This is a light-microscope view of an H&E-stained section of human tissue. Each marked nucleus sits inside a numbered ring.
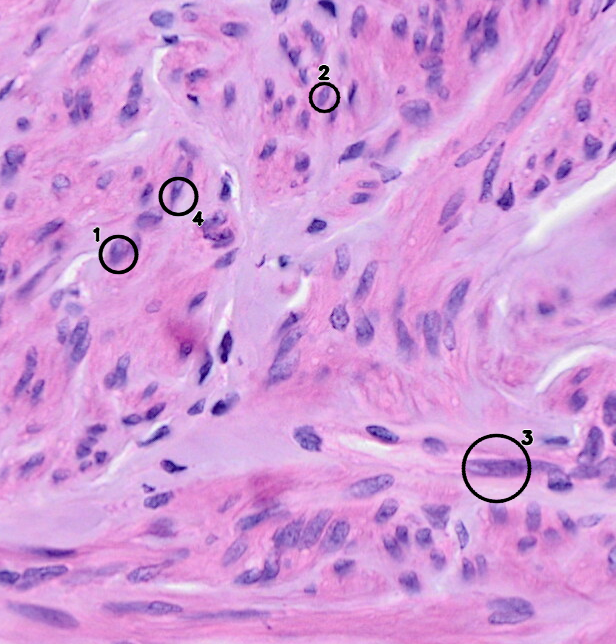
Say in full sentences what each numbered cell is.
Cell 1 is a smooth muscle cell, cell 2 is a smooth muscle cell, cell 3 is an endothelial cell and cell 4 is a smooth muscle cell.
